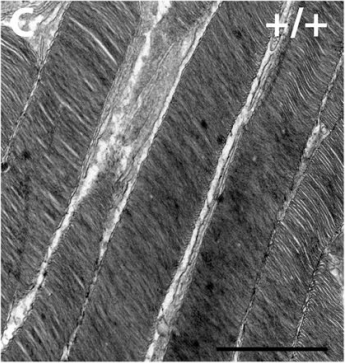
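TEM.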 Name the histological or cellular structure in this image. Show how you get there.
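Long parallel bands filled with tightly packed, evenly spaced fine lamellae. Lamellae run in a consistent direction across each band. The answer: well organized disc membranes.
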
